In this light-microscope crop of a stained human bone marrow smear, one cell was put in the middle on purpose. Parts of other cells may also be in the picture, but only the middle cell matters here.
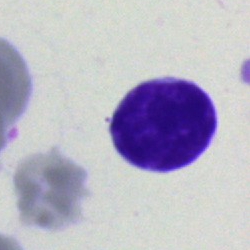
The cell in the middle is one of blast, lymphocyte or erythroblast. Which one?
lymphocyte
